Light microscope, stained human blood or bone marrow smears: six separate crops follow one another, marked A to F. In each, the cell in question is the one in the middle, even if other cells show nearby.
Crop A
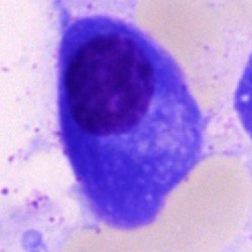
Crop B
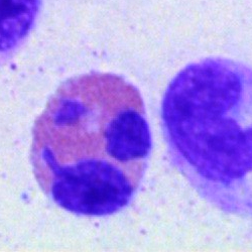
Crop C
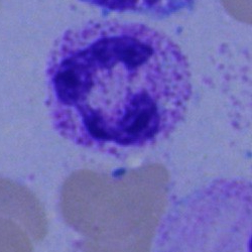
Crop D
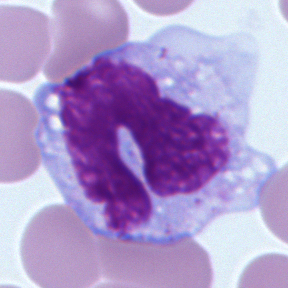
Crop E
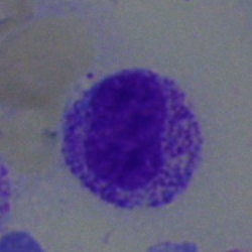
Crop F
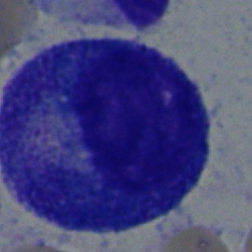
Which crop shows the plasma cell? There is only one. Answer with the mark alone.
A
